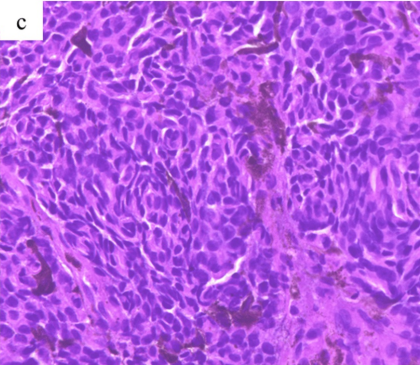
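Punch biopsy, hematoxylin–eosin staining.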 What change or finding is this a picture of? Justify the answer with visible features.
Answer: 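Irregular dark brown pigment deposits lie among the cells. Pigment is separate from the purple nuclei. That points to this answer: melanization.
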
